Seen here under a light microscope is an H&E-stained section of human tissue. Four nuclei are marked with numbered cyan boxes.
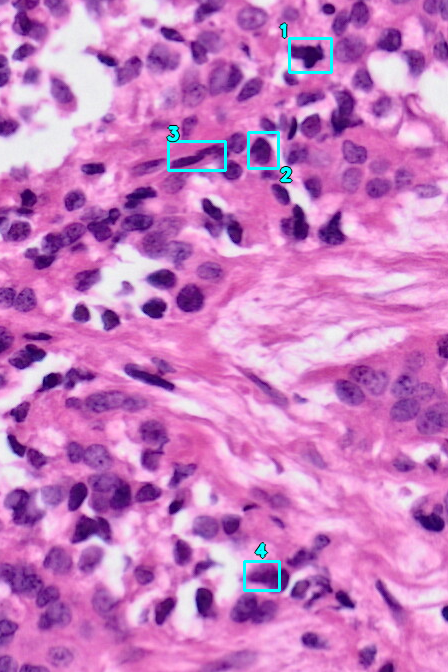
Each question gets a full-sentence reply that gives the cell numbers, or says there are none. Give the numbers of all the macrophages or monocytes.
None of the cells bearing numbers are macrophages or monocytes.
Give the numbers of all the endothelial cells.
Cell 3 is an endothelial cell, which is true of none of the other numbered cells.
